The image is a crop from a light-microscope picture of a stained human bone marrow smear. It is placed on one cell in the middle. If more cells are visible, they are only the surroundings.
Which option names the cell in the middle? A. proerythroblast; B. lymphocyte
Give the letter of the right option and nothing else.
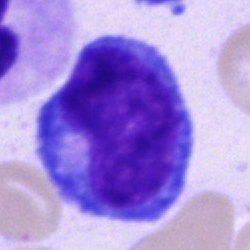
A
